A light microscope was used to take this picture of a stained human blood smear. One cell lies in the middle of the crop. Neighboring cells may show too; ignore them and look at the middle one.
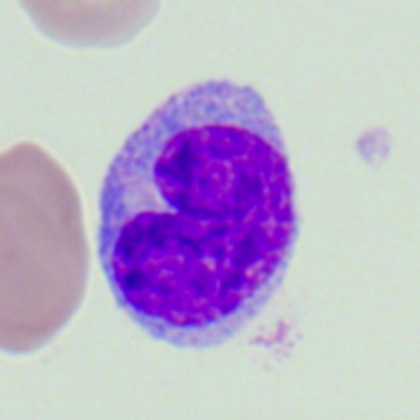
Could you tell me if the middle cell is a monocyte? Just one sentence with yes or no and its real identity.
Yes, what sits in the centre of the crop is a monocyte.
